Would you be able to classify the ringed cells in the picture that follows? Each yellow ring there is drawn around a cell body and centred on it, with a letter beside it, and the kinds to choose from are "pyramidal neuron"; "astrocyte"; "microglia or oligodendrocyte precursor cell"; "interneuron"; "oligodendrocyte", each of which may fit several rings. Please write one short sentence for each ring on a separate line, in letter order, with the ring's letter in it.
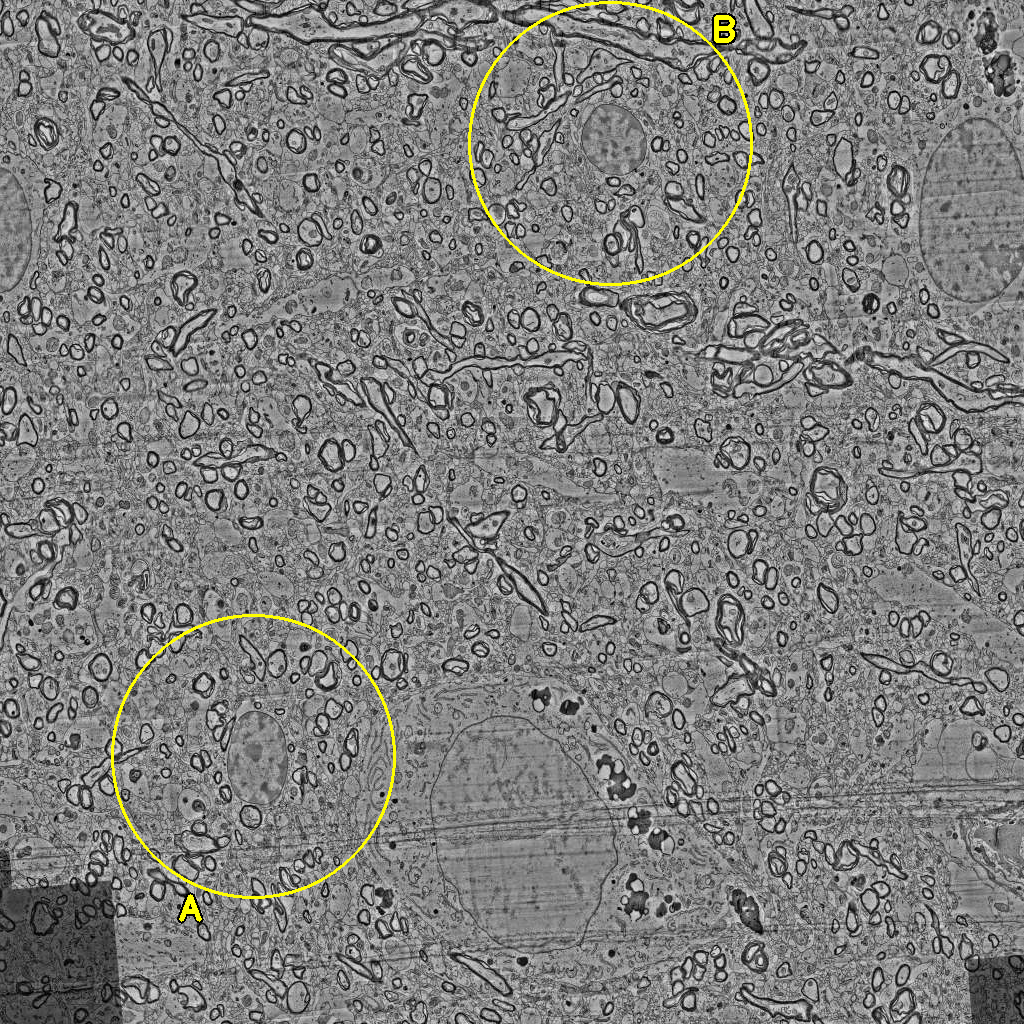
The cell body at the centre of ring A belongs to a microglial cell or oligodendrocyte precursor cell.
The cell body at the centre of ring B belongs to a microglial cell or oligodendrocyte precursor cell.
